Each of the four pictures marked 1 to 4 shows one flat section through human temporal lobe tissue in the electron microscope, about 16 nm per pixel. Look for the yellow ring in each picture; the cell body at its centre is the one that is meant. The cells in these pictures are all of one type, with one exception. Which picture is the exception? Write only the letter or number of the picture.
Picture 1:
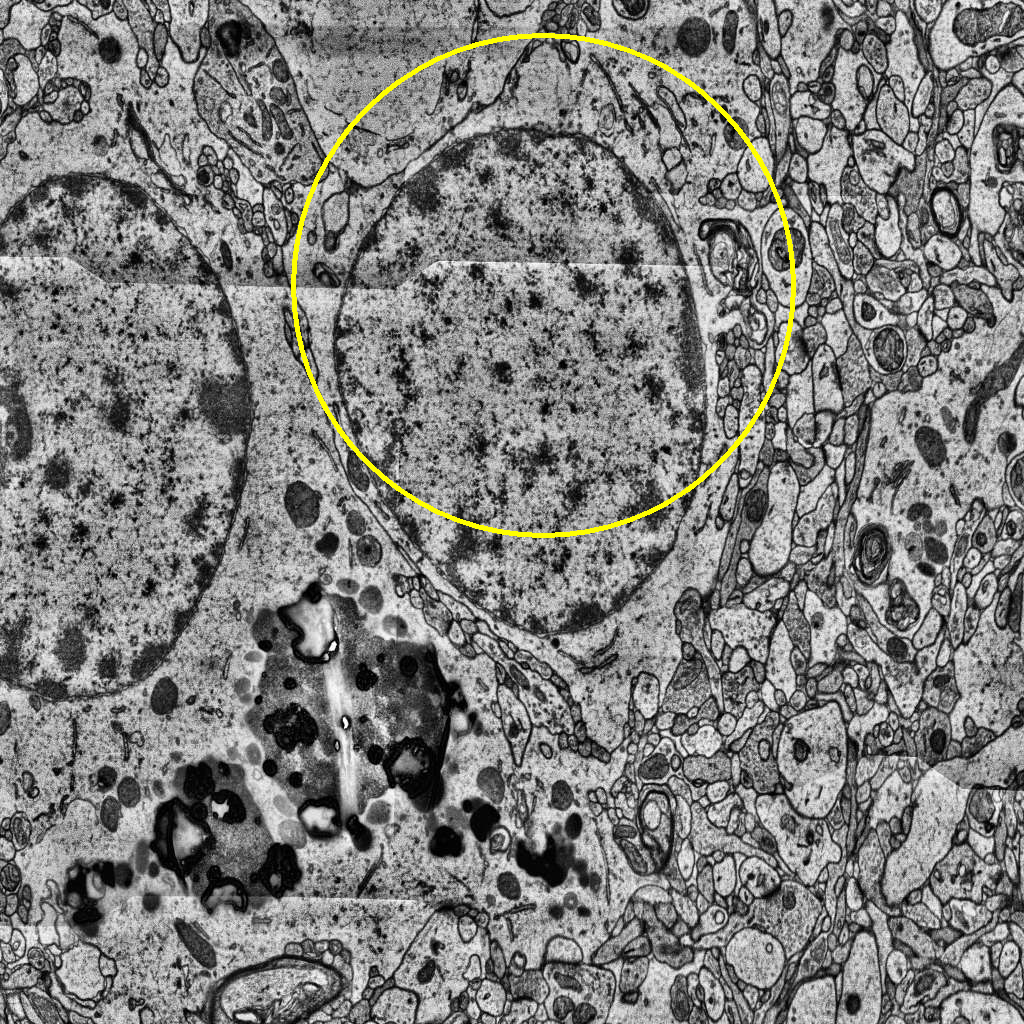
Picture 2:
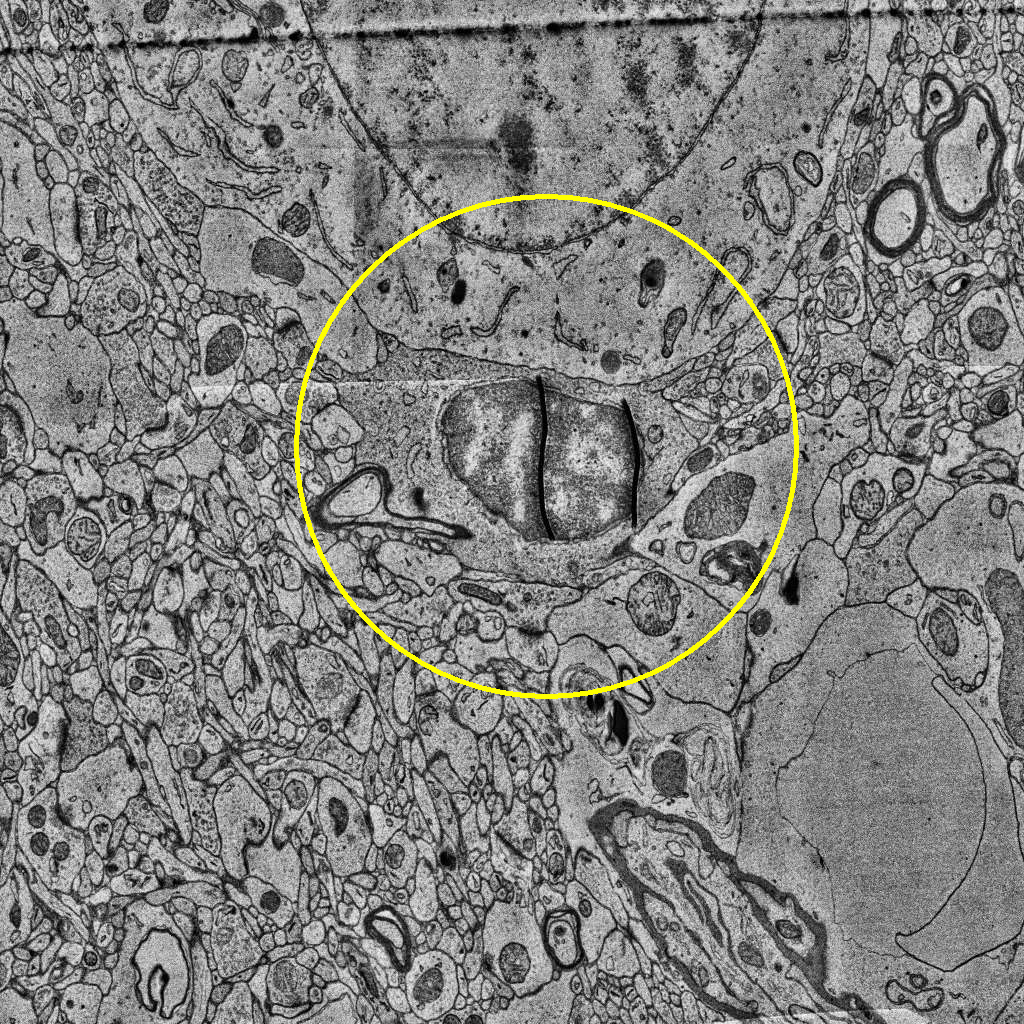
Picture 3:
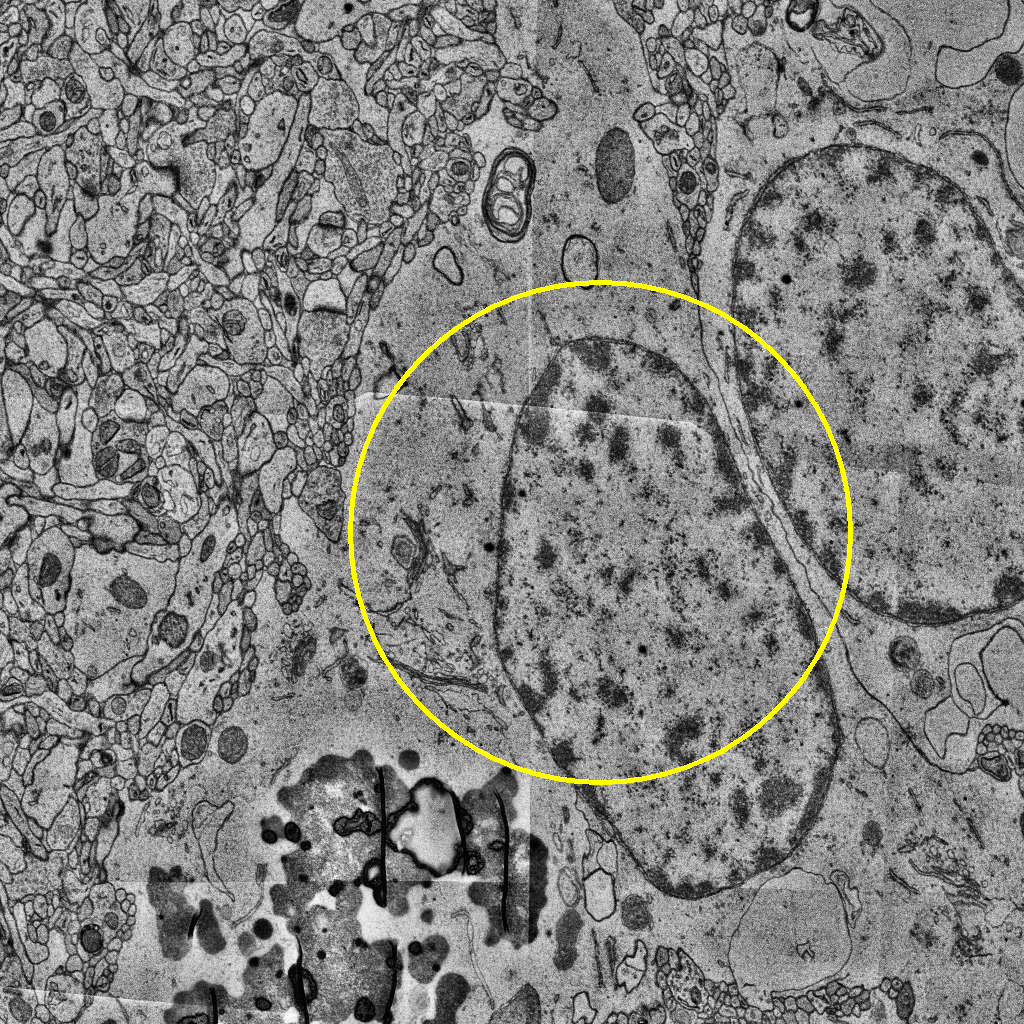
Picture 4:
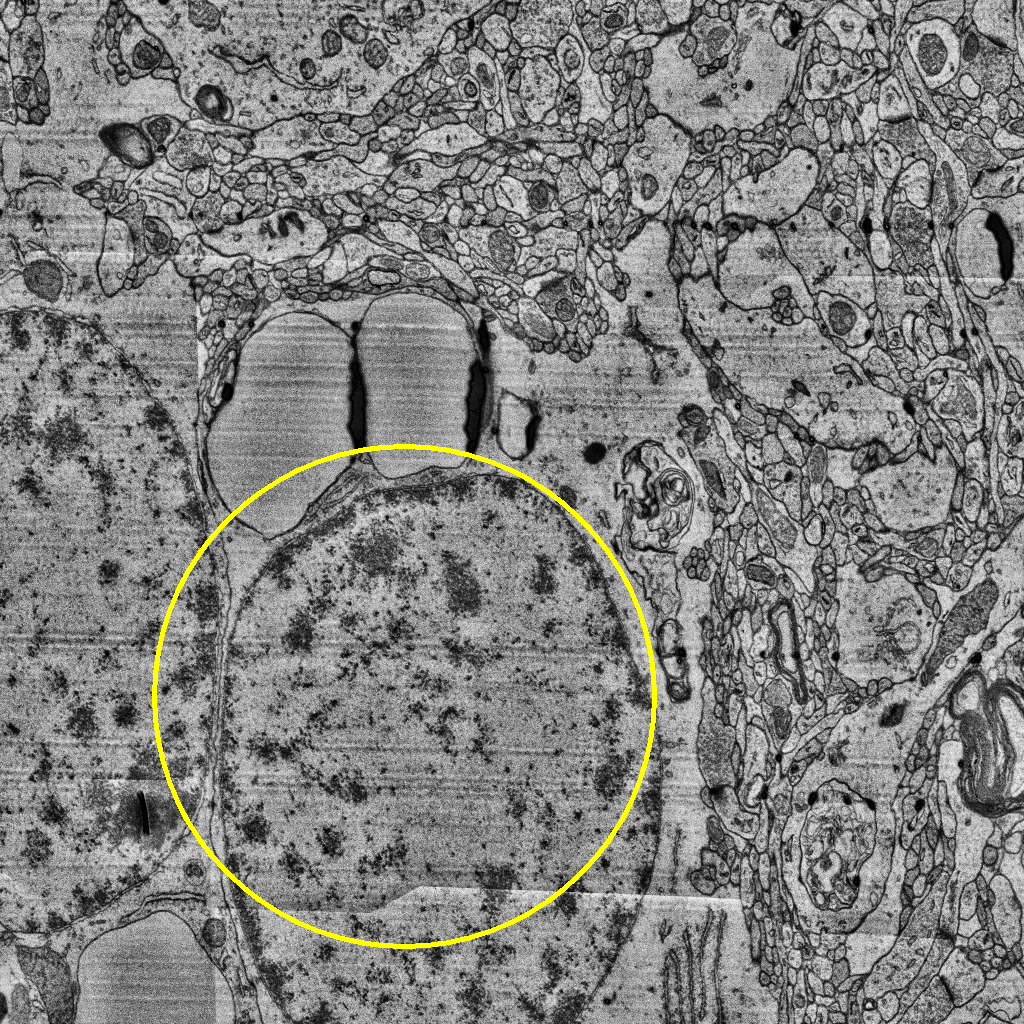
2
